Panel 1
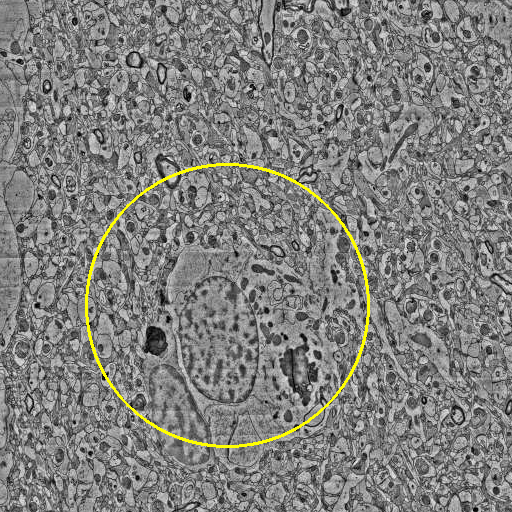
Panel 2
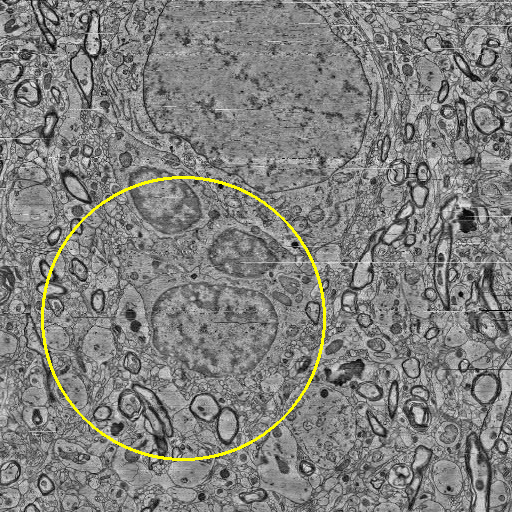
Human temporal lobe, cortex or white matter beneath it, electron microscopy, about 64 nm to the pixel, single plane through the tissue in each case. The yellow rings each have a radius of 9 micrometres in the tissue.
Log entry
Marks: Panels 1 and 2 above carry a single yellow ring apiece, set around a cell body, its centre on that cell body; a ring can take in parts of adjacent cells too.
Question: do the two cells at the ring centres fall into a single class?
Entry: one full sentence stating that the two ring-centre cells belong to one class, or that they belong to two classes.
The two ring-centre cells in Panels 1 and 2 belong to two classes.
